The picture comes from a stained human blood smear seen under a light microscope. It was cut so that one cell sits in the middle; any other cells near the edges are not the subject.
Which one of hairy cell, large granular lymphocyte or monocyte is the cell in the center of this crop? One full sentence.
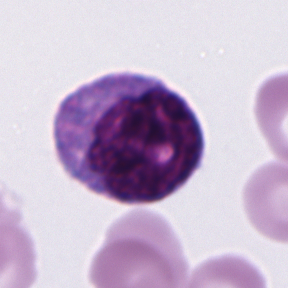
The cell at the heart of this crop is a monocyte.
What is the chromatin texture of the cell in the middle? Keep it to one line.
Chromatin in the nucleus here is coarsely clumped.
